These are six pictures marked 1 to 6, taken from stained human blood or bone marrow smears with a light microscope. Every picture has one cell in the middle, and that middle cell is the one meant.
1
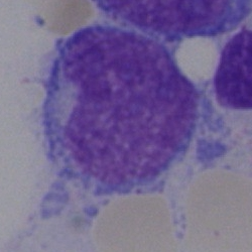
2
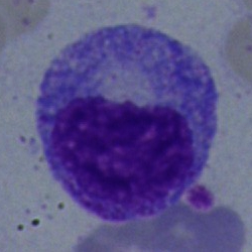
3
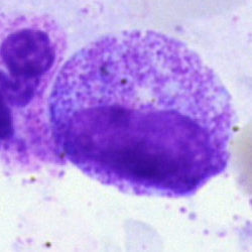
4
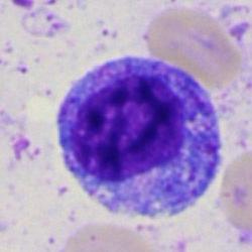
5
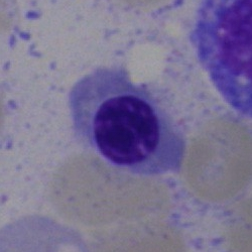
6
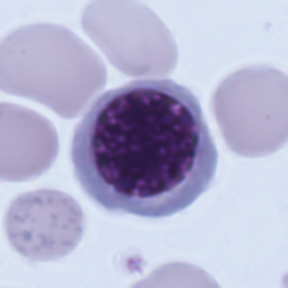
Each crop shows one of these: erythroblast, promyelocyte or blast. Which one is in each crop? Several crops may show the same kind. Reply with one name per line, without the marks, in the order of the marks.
blast
promyelocyte
promyelocyte
promyelocyte
erythroblast
erythroblast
